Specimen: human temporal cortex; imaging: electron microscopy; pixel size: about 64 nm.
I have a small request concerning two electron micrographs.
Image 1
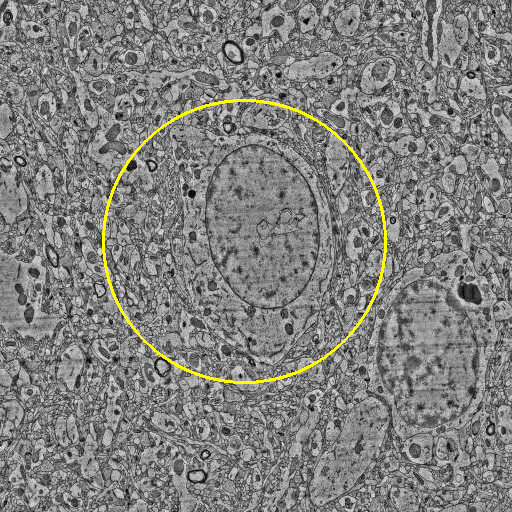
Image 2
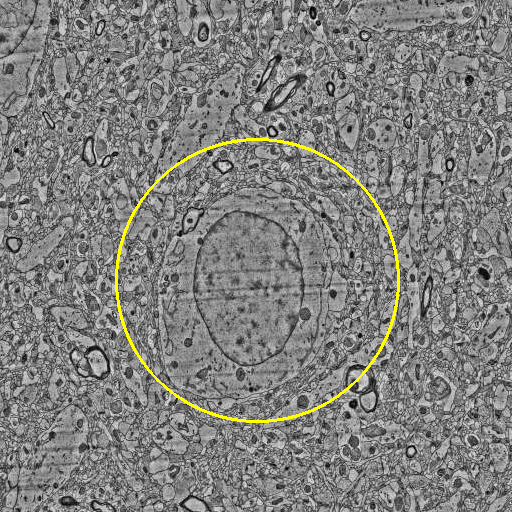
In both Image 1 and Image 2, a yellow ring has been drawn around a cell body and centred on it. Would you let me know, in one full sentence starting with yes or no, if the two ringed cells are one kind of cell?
Yes, the cells ringed in Image 1 and Image 2 are one kind of cell.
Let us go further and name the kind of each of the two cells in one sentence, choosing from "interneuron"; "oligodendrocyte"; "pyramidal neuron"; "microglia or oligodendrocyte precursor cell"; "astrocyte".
Each of the ringed cells, first and second, is a pyramidal neuron.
